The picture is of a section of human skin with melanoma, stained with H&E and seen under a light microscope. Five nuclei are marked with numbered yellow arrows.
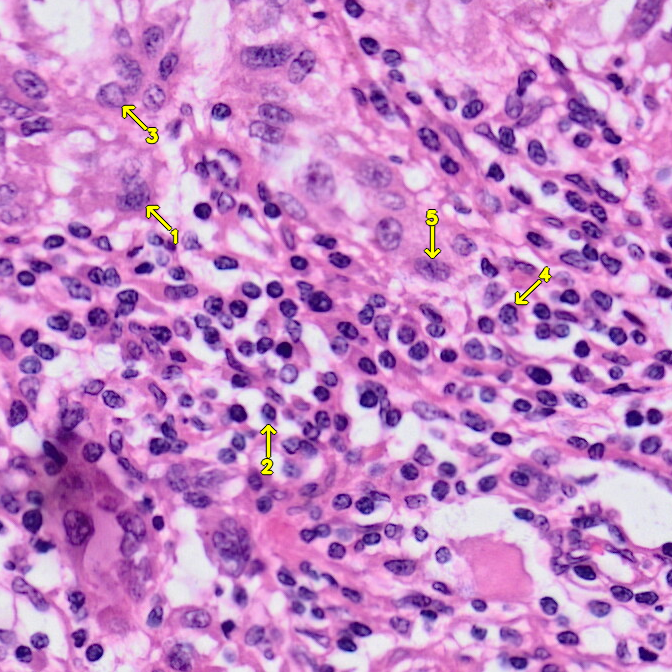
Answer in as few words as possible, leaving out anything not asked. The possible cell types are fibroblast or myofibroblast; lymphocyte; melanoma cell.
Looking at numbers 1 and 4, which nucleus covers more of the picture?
1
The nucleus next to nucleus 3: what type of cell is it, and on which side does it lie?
a melanoma cell above and to the right of nucleus 3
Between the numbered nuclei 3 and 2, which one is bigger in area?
3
